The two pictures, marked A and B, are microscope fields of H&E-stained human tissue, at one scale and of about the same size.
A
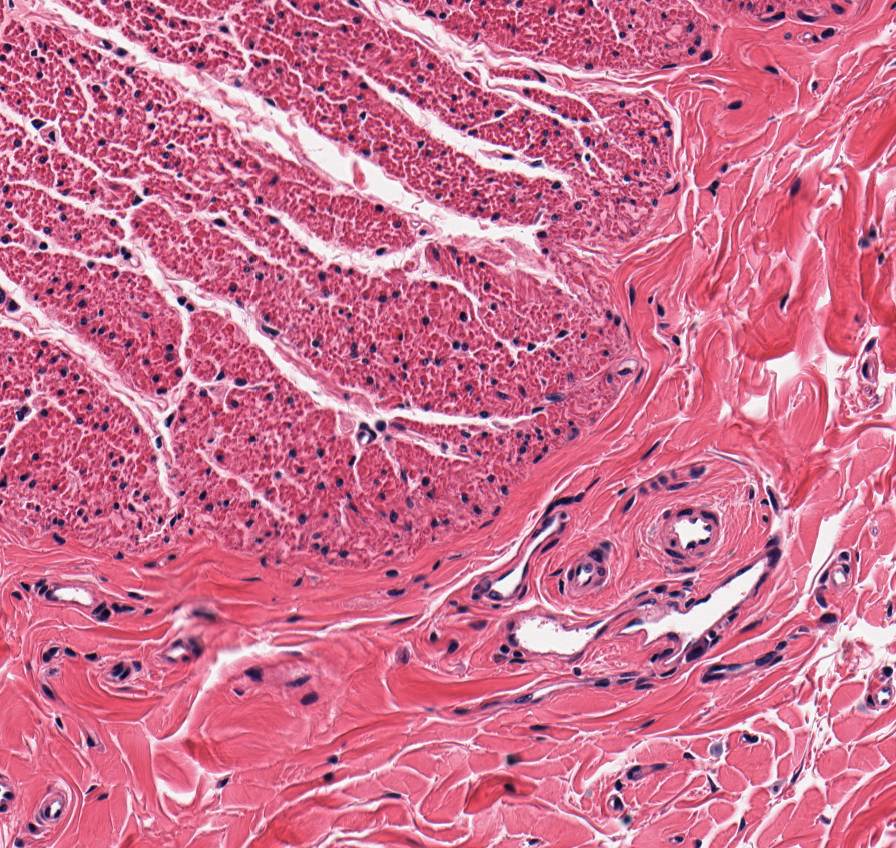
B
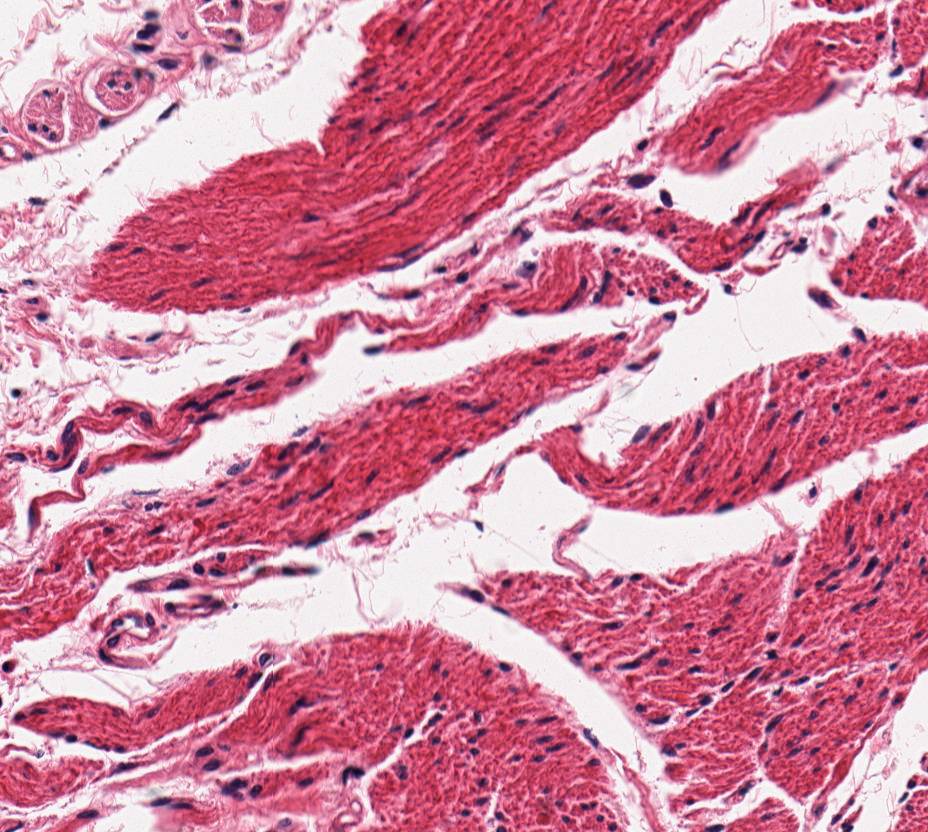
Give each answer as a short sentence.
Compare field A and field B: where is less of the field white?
It is field A that stained tissue fills more completely.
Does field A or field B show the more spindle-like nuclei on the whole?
On the whole the nuclei of field B are more drawn out than those of field A.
